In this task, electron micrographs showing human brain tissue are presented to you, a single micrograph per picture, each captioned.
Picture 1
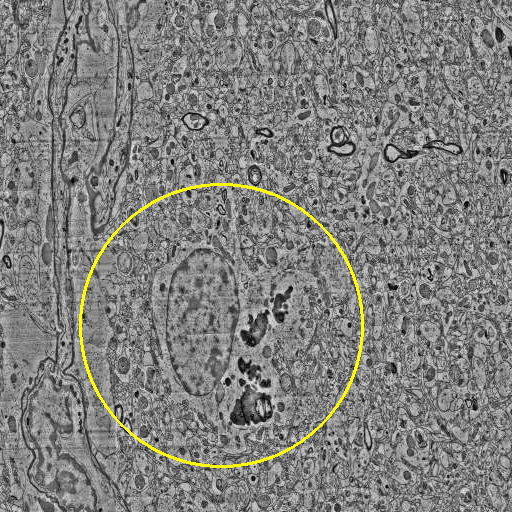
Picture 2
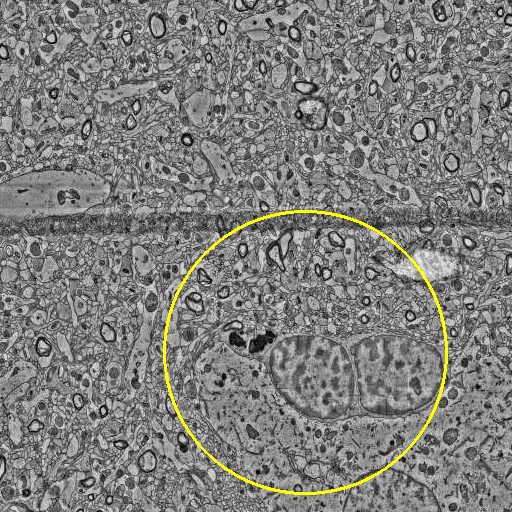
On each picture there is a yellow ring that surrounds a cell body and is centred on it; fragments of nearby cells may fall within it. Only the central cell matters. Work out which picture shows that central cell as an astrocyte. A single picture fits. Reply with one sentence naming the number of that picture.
Of all the pictures, number 1 has the right cell in the centre of its ring.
